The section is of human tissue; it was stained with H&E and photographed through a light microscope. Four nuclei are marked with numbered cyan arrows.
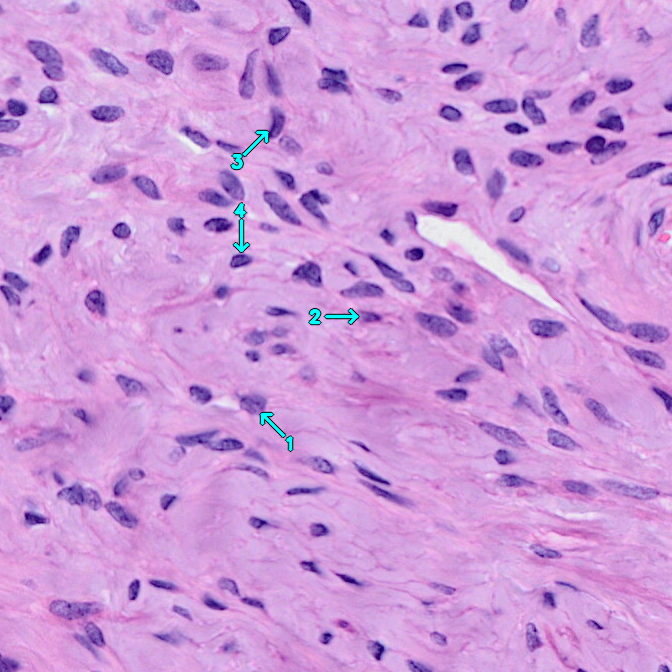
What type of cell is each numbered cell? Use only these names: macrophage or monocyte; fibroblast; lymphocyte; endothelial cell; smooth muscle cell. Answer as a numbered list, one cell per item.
1. fibroblast
2. smooth muscle cell
3. fibroblast
4. fibroblast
